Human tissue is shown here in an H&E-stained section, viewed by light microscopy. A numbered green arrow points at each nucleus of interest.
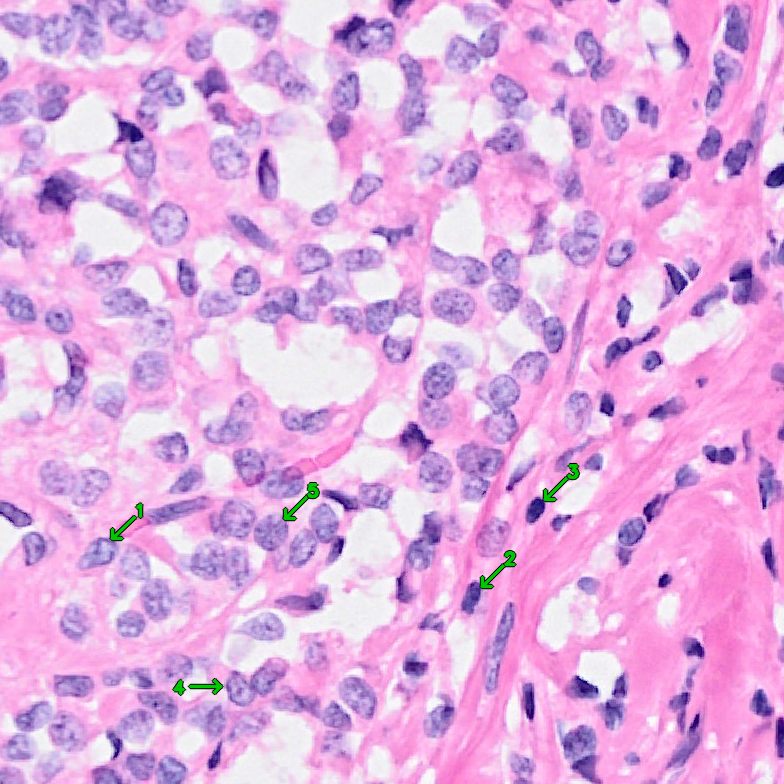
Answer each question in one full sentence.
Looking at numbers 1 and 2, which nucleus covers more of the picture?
At about 2 times the area of nucleus 2, nucleus 1 is the larger of the two.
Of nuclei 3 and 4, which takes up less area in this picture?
Nucleus 3 is the smaller one; nucleus 4 covers about 2 times its area.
